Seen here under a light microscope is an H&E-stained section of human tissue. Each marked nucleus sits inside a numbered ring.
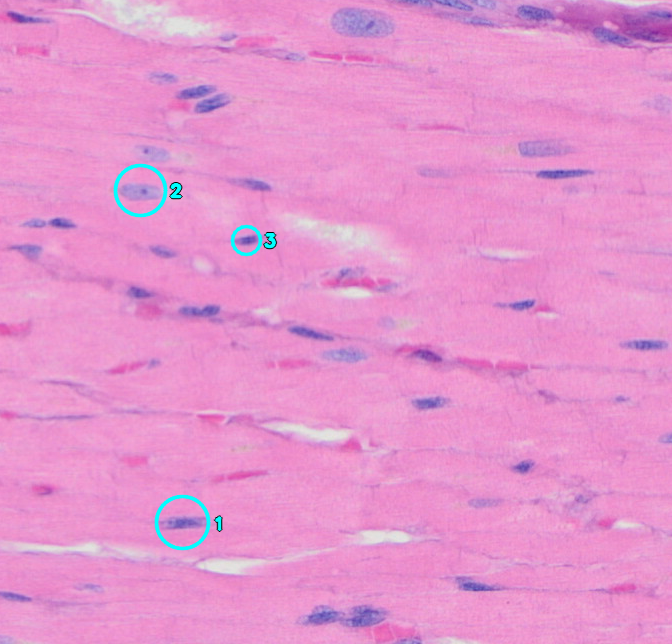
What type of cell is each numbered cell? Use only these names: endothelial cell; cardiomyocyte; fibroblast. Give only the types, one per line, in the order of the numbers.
endothelial cell
cardiomyocyte
endothelial cell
